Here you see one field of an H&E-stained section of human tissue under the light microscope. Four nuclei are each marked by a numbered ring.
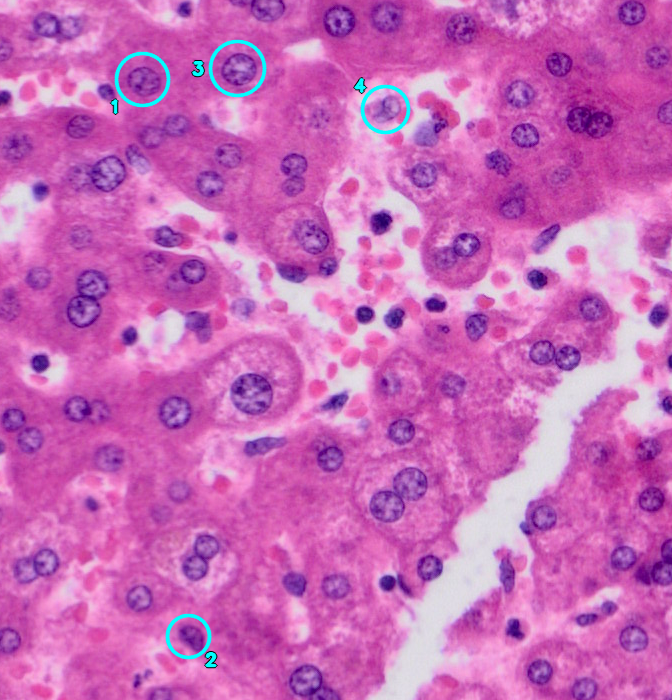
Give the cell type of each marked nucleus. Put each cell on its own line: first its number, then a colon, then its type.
1: hepatocyte
2: Kupffer cell
3: hepatocyte
4: Kupffer cell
